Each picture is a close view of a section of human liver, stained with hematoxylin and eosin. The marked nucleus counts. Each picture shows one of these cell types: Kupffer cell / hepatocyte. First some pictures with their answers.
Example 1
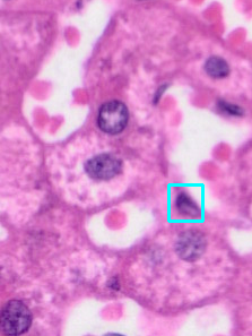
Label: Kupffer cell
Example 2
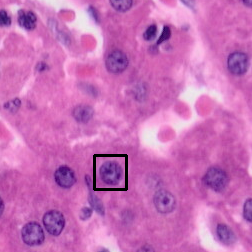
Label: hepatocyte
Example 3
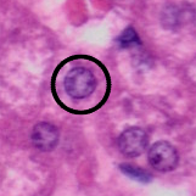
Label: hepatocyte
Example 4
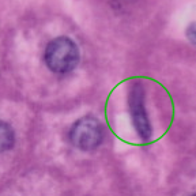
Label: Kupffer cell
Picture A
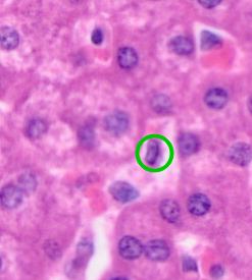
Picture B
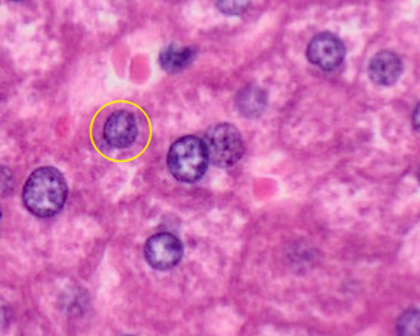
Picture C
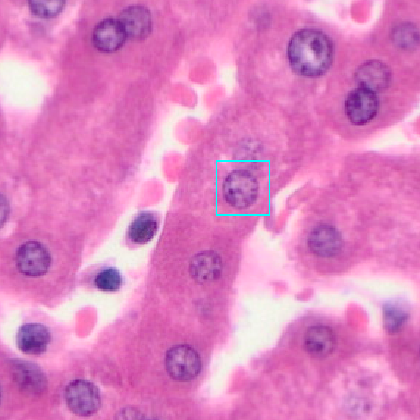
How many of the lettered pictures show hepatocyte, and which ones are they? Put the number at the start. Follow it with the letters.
Count: 2 (B, C)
